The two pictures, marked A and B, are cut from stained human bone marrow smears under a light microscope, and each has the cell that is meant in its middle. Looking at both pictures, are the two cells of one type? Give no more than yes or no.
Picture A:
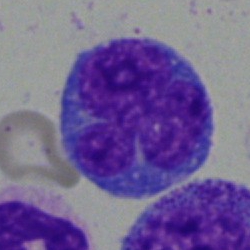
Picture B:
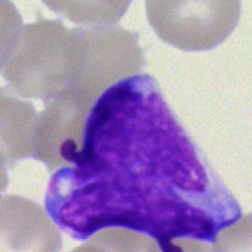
yes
